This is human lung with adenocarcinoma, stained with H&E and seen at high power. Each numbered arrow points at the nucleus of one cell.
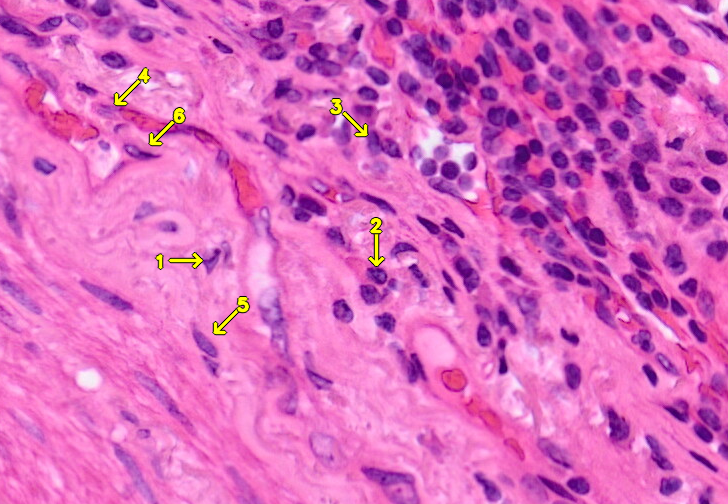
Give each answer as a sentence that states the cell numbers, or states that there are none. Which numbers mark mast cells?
Among all the marked cells, a mast cell is found only at number 2.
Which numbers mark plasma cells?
Among the numbered cells, a plasma cell occurs only once, as cell 3.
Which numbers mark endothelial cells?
Regarding the numbered cells 4 and 6, these are endothelial cells.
